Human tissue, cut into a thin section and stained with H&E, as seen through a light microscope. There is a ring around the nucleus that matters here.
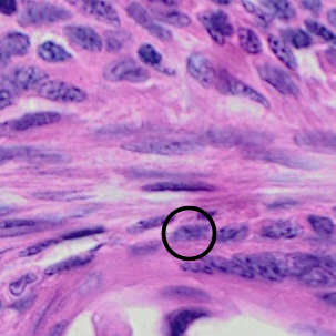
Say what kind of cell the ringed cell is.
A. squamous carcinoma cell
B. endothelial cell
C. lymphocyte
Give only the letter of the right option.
A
